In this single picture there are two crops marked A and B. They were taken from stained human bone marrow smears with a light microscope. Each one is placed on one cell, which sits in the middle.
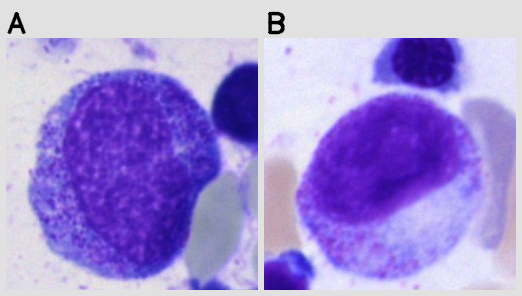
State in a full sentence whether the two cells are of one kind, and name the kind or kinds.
Yes, the centred cells are promyelocytes in both crops.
